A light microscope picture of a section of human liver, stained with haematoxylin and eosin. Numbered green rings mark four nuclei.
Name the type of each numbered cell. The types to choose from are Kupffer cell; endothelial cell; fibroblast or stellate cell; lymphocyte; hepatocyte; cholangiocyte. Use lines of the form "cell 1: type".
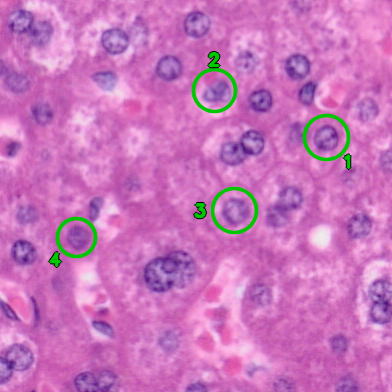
cell 1: hepatocyte
cell 2: Kupffer cell
cell 3: hepatocyte
cell 4: hepatocyte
